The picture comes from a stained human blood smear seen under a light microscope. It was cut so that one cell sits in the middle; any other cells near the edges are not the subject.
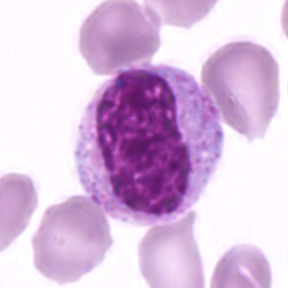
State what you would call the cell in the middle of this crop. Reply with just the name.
metamyelocyte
